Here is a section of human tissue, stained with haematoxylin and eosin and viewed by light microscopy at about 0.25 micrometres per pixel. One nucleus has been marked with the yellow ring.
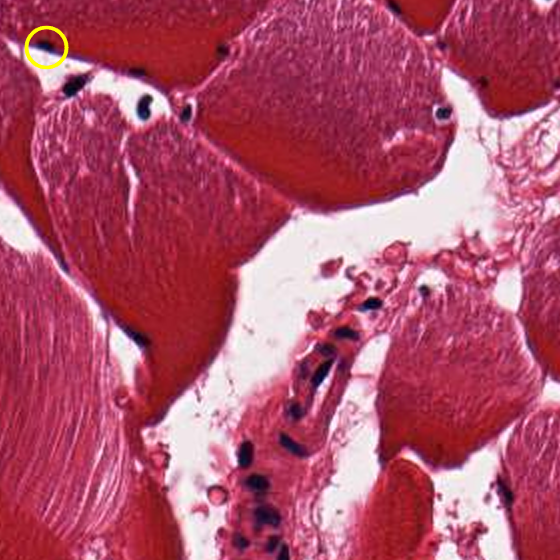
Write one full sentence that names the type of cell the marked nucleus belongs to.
The marked nucleus is located in a skeletal muscle fibre.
